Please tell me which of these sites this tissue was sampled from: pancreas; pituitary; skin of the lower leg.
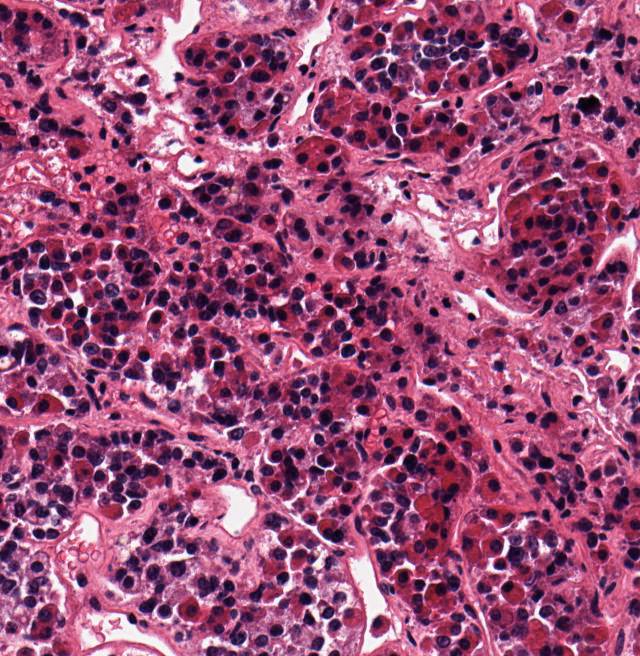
pituitary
